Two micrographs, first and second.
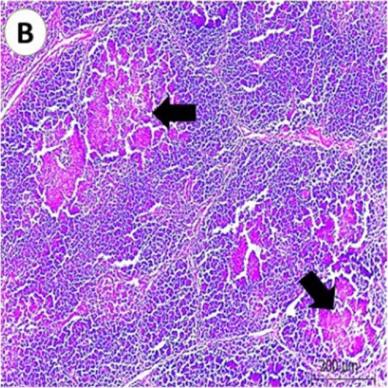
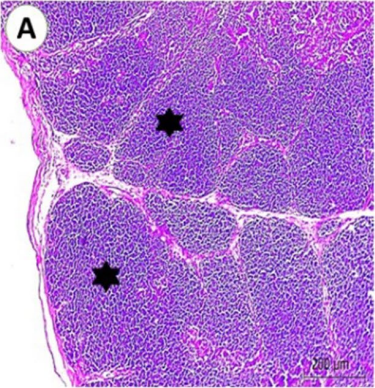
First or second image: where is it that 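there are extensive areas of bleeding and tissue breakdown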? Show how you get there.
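First image: pink-red disrupted patches are scattered through the lymphoid tissue. On this evidence: the first image.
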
